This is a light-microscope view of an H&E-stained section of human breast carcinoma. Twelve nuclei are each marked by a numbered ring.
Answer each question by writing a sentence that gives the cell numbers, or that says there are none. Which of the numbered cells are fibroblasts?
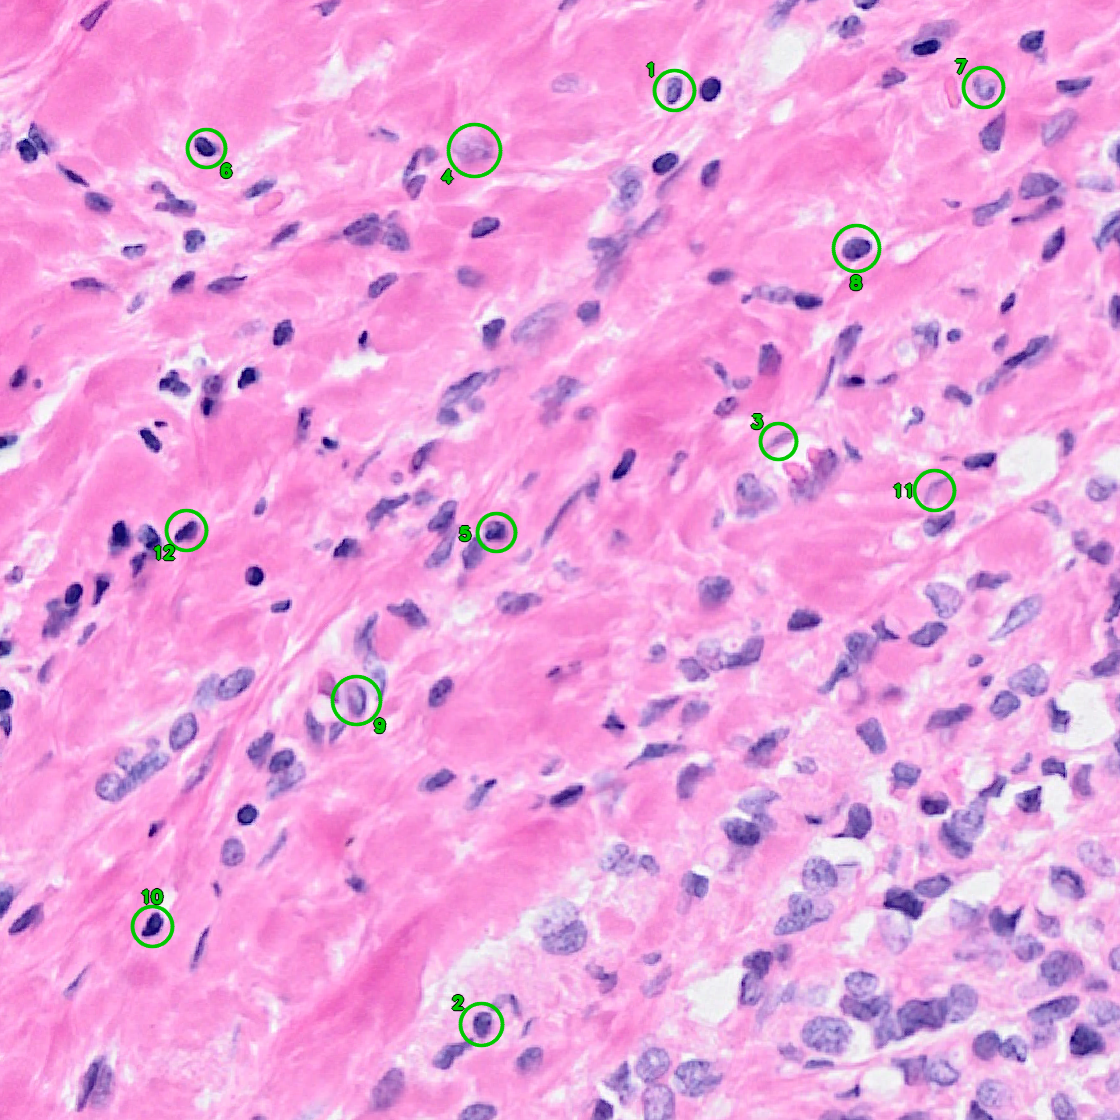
Cells 4 and 11 are of one type, namely fibroblasts.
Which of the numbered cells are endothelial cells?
The cells that the numbers 3, 7 and 9 belong to are endothelial cells.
